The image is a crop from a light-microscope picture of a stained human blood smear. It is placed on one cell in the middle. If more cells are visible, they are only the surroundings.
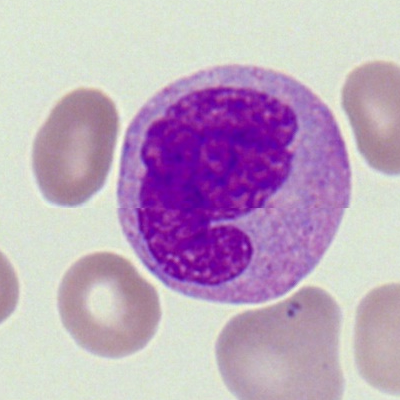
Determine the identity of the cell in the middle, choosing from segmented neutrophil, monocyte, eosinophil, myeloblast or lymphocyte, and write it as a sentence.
The cell at the heart of this crop is a monocyte.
